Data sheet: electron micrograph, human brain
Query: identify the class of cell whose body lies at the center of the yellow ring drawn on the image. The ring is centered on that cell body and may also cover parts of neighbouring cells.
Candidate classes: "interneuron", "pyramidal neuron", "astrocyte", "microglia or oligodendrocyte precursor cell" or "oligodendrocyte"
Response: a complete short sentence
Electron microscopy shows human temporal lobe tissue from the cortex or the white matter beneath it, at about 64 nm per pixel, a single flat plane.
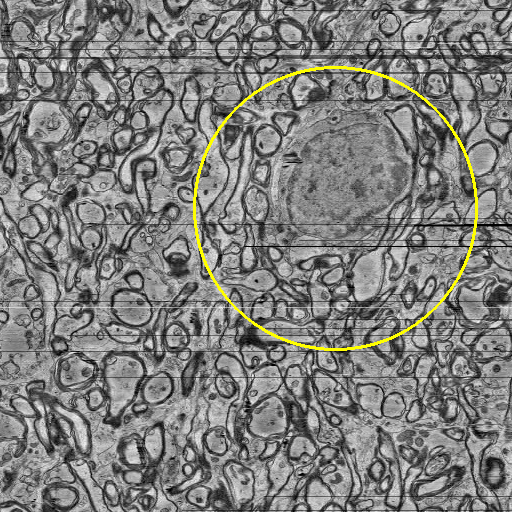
At the center of the ring lies an oligodendrocyte.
